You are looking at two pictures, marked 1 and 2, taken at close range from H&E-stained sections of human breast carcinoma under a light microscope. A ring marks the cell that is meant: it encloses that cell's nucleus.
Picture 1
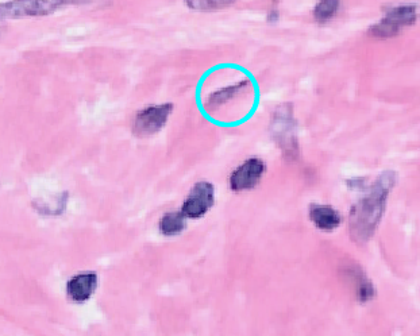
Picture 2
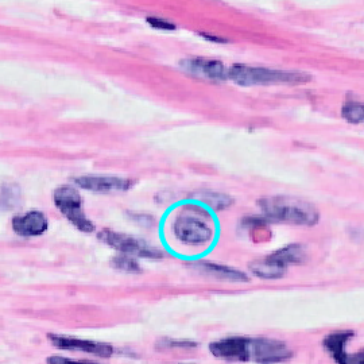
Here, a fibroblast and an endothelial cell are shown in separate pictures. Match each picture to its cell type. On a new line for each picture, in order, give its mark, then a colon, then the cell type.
1: fibroblast
2: endothelial cell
